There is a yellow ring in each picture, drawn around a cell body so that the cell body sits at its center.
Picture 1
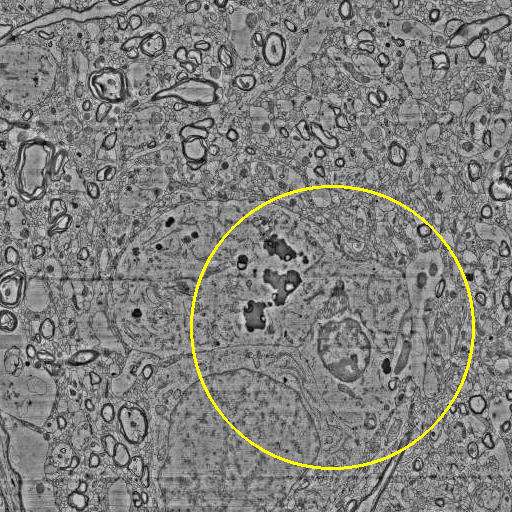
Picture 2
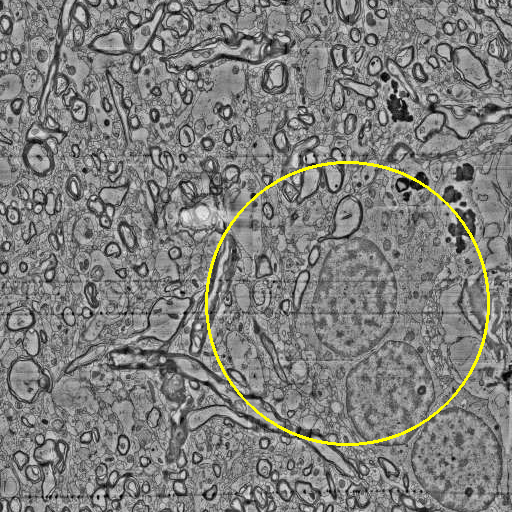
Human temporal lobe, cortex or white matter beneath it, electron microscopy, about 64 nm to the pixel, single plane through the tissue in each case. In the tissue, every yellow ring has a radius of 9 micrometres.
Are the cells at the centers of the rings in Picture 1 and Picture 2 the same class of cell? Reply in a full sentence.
No, the two cells are two classes of cell.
